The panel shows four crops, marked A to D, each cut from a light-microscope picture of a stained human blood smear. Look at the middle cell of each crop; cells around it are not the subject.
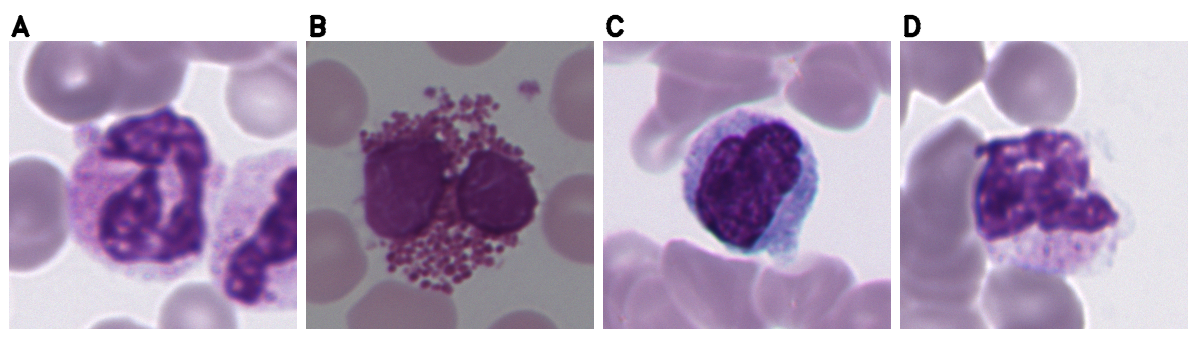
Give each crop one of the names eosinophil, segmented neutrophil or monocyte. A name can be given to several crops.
A: segmented neutrophil
B: eosinophil
C: monocyte
D: segmented neutrophil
